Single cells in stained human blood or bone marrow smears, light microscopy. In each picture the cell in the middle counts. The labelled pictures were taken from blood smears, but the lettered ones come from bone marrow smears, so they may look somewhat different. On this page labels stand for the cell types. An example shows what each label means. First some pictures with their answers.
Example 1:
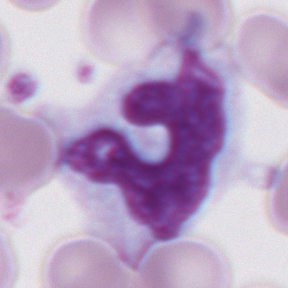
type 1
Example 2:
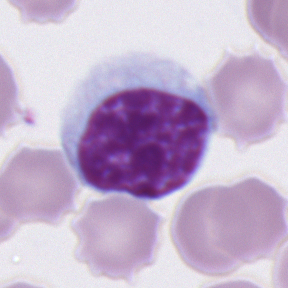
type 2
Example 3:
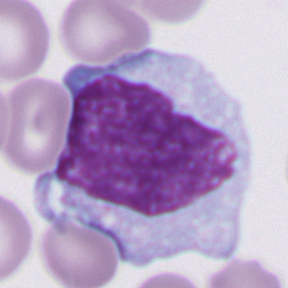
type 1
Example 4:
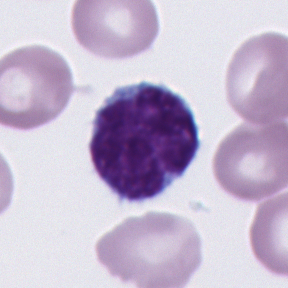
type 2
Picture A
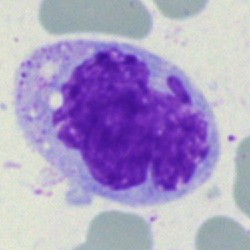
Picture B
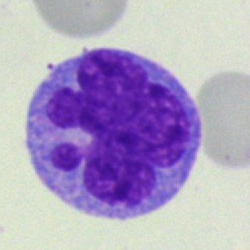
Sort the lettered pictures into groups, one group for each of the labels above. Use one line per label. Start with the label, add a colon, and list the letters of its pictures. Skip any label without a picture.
type 1: A, B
